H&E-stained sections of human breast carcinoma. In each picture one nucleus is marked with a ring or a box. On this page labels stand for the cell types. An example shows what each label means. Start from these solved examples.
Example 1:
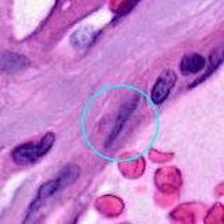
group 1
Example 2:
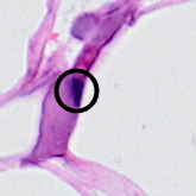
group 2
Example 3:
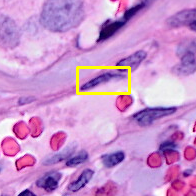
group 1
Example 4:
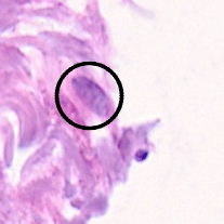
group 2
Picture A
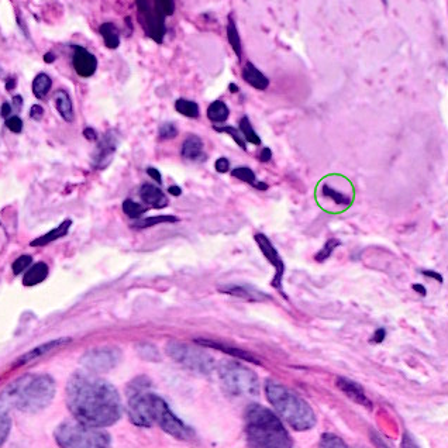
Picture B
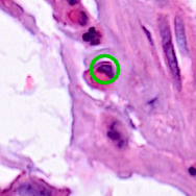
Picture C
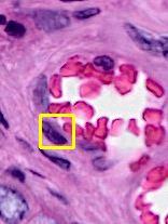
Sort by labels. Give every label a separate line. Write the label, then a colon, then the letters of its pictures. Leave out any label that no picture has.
group 1: B, C
group 2: A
